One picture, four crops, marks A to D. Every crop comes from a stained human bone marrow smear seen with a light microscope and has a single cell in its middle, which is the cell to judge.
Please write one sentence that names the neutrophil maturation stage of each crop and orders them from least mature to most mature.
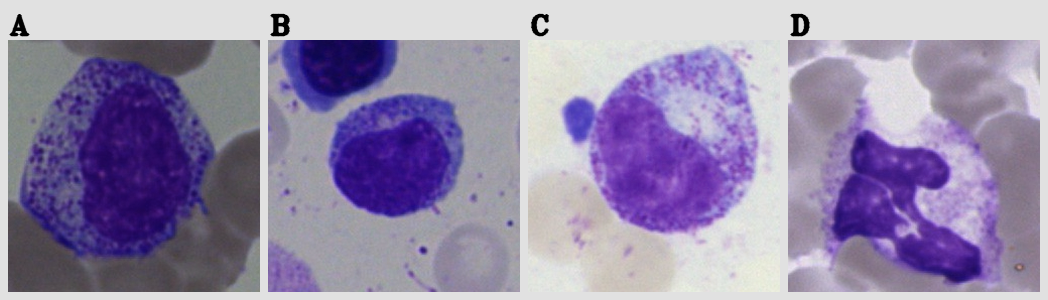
Proceeding from least to most mature, the order is crop A (a promyelocyte), crop B (a myelocyte), crop C (a metamyelocyte) and crop D (a segmented neutrophil).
